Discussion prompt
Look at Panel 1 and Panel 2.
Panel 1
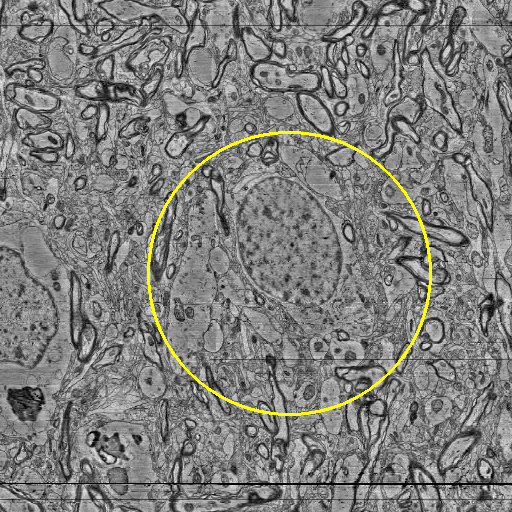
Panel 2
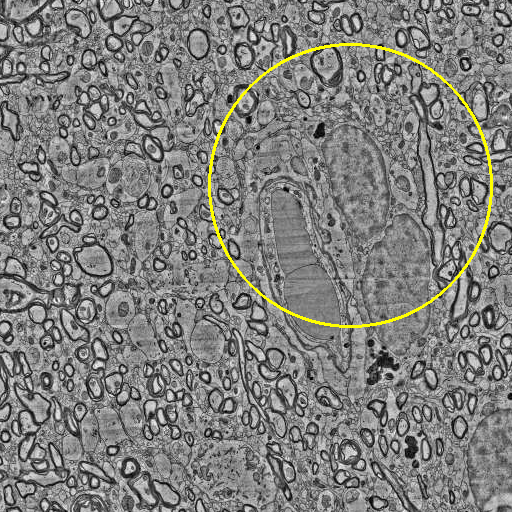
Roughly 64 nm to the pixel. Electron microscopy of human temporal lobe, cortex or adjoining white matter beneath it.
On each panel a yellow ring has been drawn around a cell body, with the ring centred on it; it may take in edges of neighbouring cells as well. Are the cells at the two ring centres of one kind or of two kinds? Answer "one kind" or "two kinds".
two kinds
